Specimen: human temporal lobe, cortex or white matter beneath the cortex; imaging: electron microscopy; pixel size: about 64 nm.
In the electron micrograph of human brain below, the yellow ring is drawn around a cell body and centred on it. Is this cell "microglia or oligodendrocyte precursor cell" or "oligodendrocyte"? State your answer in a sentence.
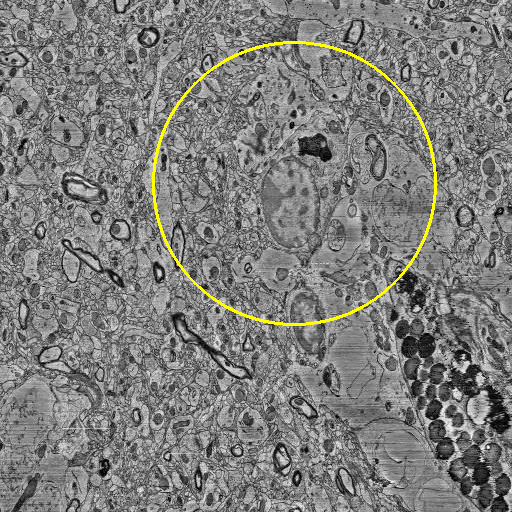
The cell in the middle of the ring is an oligodendrocyte.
